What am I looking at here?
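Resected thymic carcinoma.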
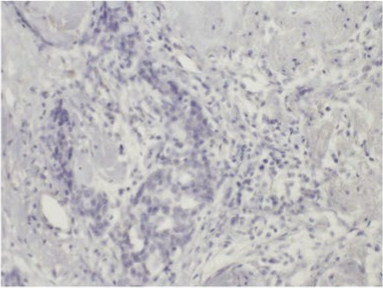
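A band of crowded small dark round nuclei runs diagonally through the field, consistent with a lymphocytic infiltrate bordering tumor cells. The surrounding stroma is pale, with wavy collagen fibres and scattered spindle-shaped nuclei. A small empty vascular lumen lies at the left. Tumor cells have paler, larger oval nuclei and indistinct cytoplasm.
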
